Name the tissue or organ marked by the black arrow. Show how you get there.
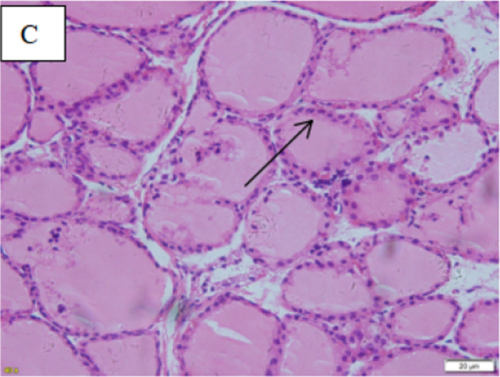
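The arrow points to the cell layer lining a follicle. Rounded follicles with pale pink contents are each ringed by a layer of nucleated cells.
Hence: thyroid follicular epithelium.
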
